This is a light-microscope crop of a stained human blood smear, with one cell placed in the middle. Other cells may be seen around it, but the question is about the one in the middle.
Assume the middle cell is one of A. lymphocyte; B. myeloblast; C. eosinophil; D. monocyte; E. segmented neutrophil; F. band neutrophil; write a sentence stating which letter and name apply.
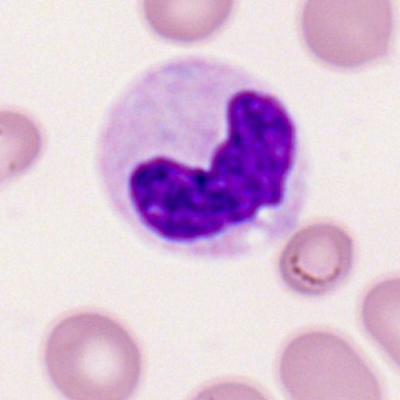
The middle of the crop holds a band neutrophil, which points to option F.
